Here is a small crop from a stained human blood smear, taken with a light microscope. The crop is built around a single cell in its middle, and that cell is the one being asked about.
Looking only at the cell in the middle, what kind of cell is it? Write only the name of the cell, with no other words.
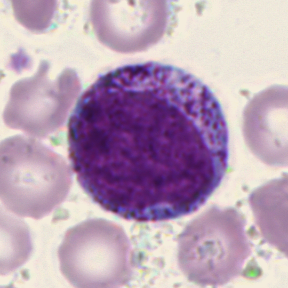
promyelocyte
